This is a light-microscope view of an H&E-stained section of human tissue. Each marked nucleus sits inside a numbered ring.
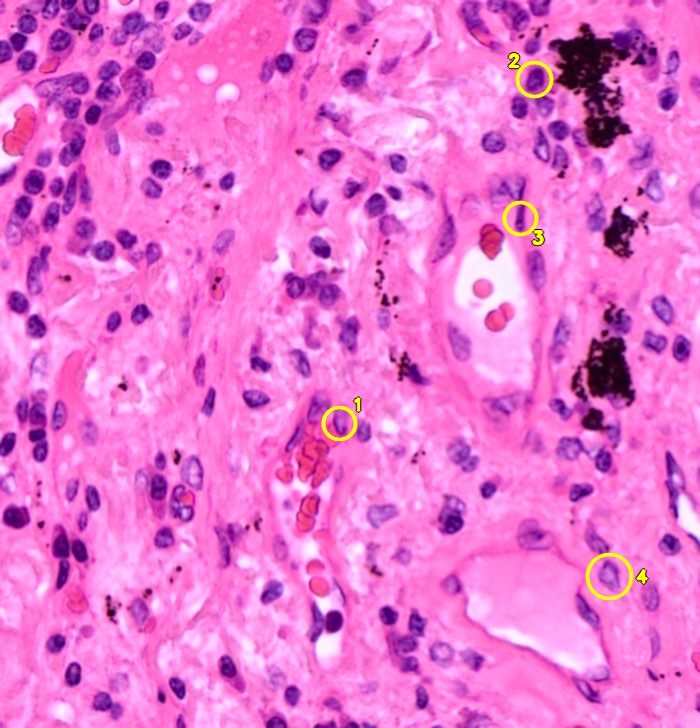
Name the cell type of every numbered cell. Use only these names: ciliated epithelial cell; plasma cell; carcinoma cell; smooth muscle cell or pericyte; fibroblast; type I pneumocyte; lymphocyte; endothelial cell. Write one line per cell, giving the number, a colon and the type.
1: endothelial cell
2: plasma cell
3: endothelial cell
4: fibroblast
